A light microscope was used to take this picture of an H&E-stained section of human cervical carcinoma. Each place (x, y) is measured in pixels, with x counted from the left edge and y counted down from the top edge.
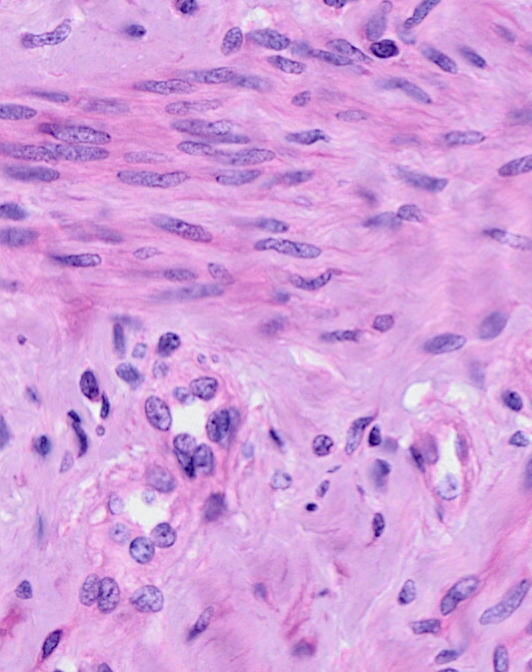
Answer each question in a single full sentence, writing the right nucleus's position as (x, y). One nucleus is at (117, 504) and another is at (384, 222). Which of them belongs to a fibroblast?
Among the two, the nucleus at (384, 222) is the nucleus of a fibroblast.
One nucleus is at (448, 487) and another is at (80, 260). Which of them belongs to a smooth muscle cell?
The nucleus at (80, 260) is the one that belongs to a smooth muscle cell.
